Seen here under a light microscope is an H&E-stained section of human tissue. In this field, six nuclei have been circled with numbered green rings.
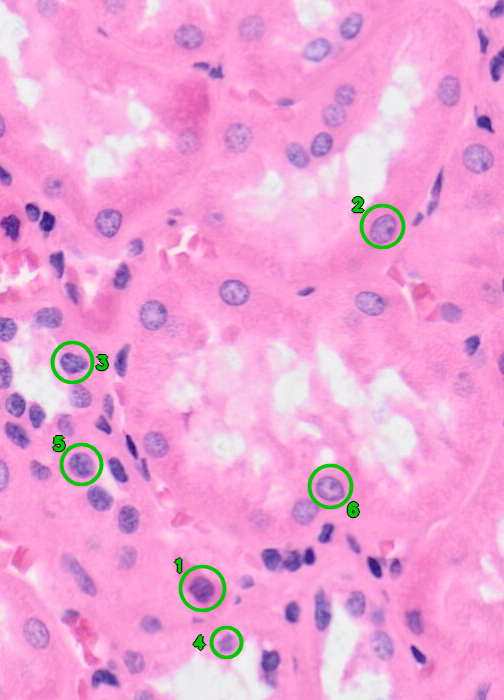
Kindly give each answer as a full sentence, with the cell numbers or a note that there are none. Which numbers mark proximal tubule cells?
Cells 1, 2 and 6 are proximal tubule cells by cell type.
